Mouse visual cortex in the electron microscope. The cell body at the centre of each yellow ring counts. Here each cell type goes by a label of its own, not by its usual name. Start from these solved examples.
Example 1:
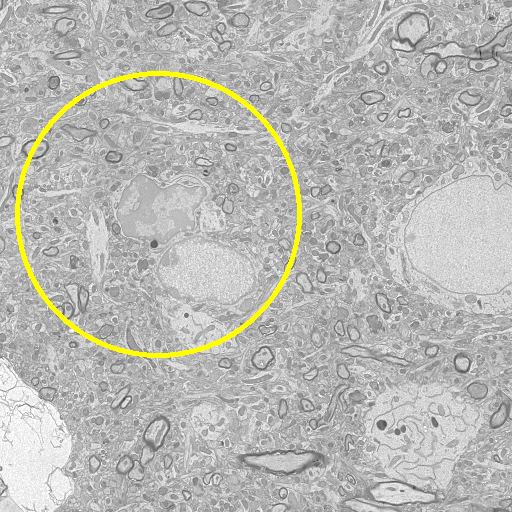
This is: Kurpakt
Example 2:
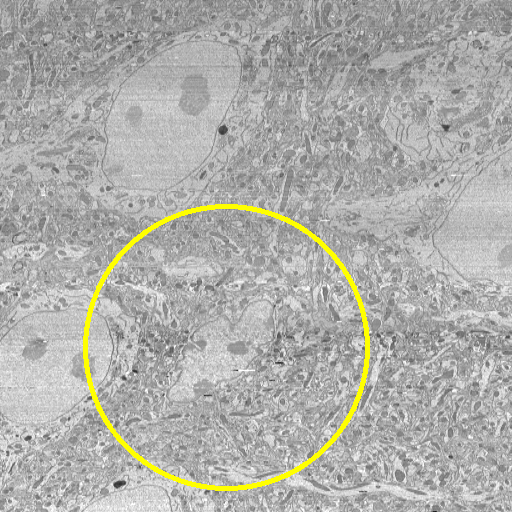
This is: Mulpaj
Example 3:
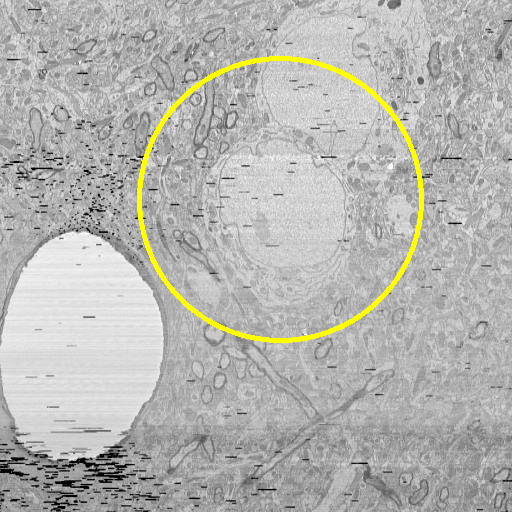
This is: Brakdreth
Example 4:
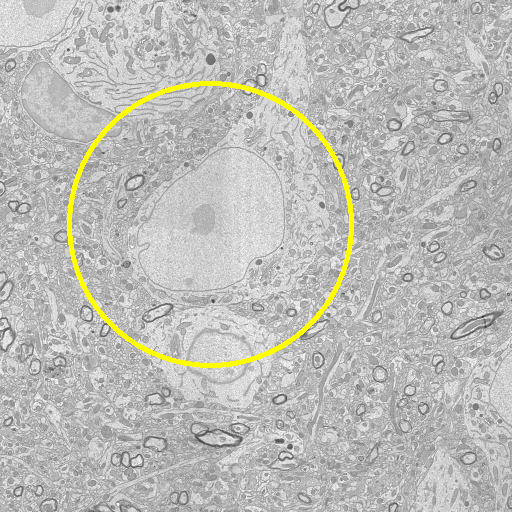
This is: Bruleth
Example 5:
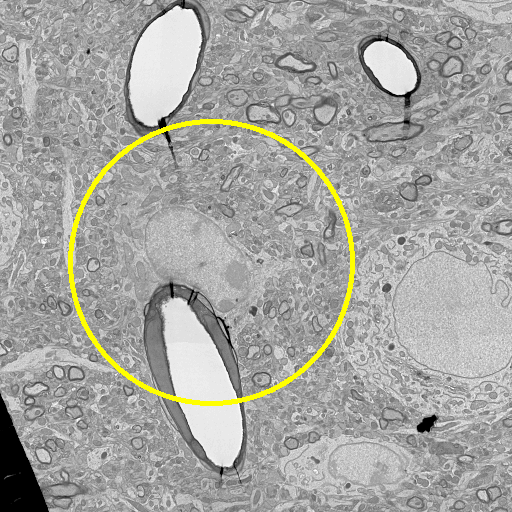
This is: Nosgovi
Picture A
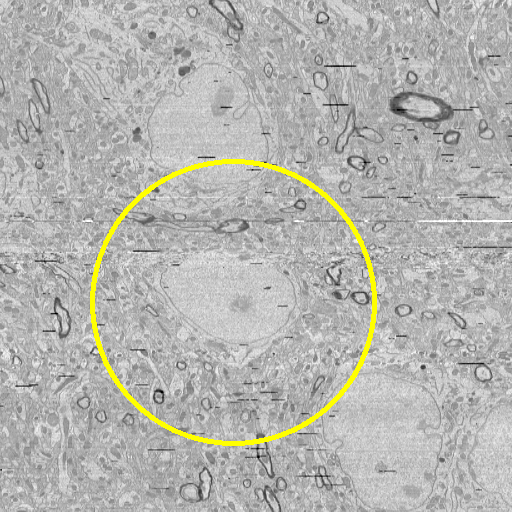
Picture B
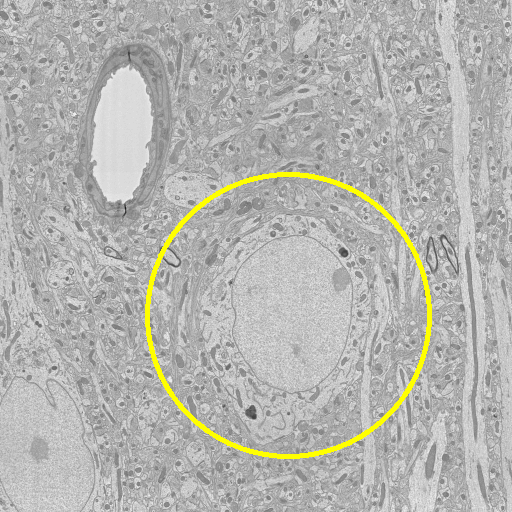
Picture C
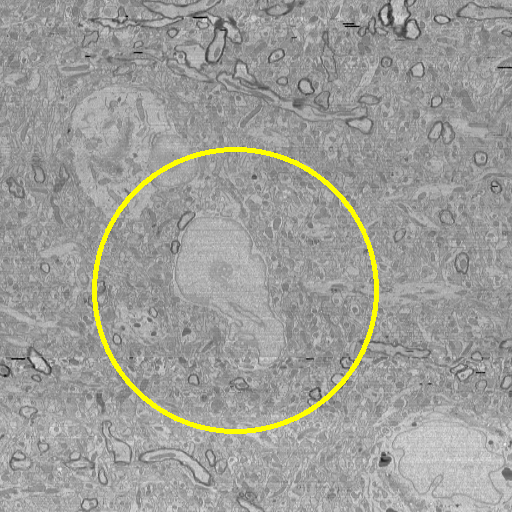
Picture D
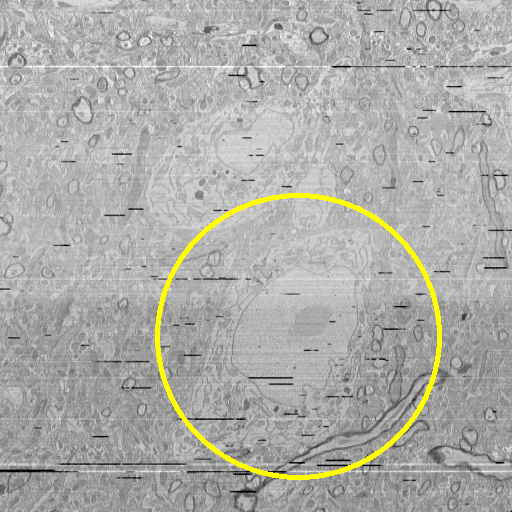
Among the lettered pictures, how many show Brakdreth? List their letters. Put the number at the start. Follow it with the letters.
Count: 1 (D)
